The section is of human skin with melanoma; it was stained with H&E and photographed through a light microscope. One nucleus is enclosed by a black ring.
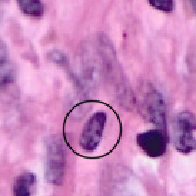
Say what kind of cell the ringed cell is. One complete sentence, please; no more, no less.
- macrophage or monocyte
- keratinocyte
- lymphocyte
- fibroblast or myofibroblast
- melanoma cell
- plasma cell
Students should answer that the ringed cell is a lymphocyte.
